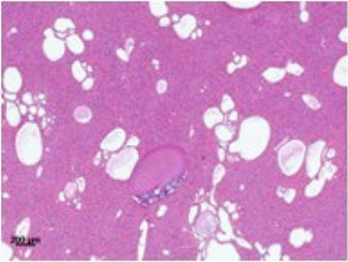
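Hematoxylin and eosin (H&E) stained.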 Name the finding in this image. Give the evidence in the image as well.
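Liver cyst formation. Many round, clear, empty spaces of varying size lie scattered in solid pink tissue. Some spaces cluster together like bunches.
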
